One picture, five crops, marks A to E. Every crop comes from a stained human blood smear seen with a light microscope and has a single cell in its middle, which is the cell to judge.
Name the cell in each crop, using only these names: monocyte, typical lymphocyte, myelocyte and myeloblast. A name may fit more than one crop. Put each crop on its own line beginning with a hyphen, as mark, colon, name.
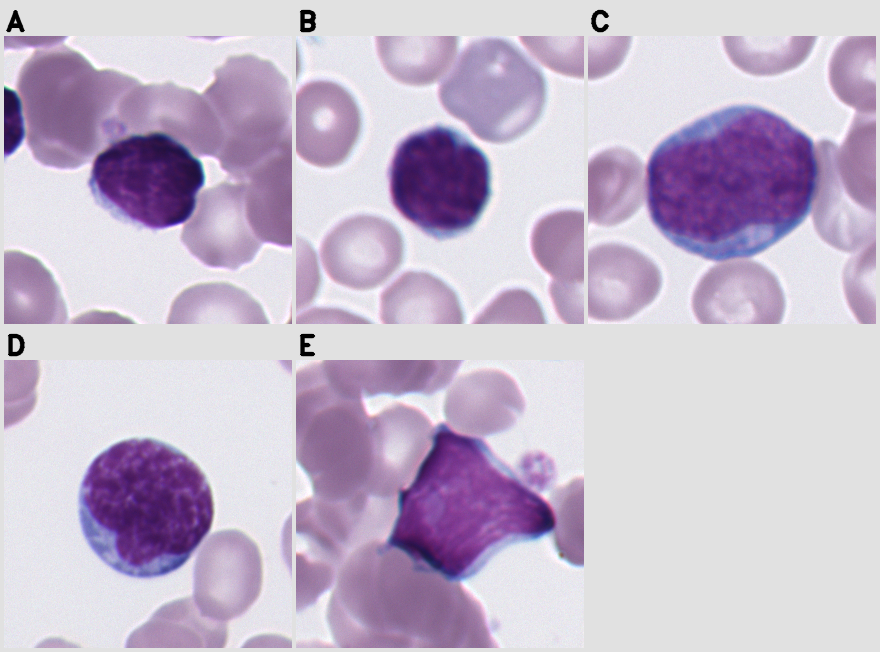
- A: typical lymphocyte
- B: typical lymphocyte
- C: myeloblast
- D: typical lymphocyte
- E: typical lymphocyte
